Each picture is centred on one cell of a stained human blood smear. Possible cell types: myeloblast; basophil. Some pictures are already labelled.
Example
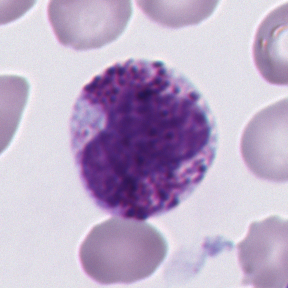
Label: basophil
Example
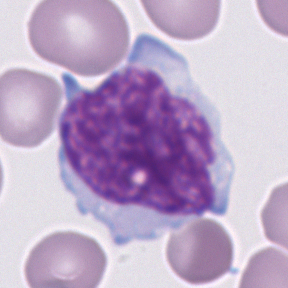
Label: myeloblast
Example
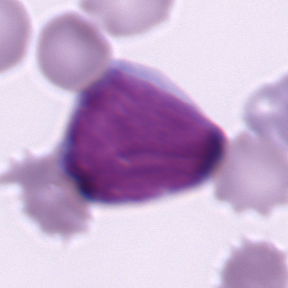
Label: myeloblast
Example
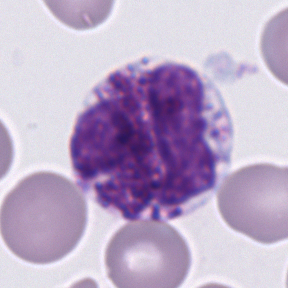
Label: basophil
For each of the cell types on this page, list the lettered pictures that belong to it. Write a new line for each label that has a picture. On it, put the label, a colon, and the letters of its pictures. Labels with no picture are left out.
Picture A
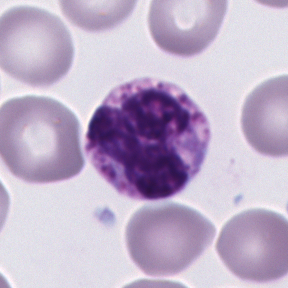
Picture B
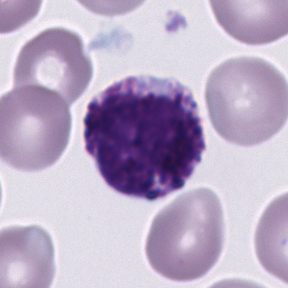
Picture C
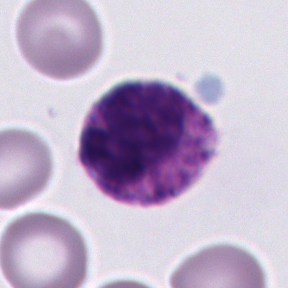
basophil: A, B, C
